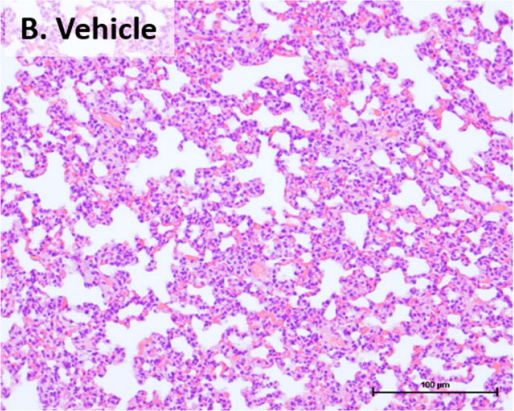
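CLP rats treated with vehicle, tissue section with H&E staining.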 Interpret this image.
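This lung tissue shows alveolar septal thickening: the walls between the air spaces are broad and crowded with dark purple nuclei. The air spaces are much smaller and narrower than in normal lung, so the field looks dense and solid over large areas. Patches of pink, red-tinged material lie within the thickened walls among the packed cells.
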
